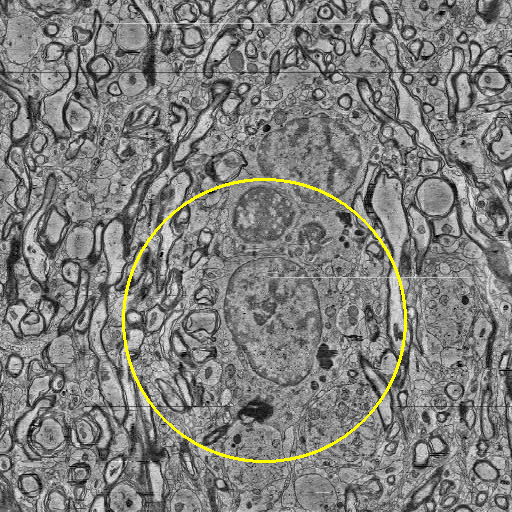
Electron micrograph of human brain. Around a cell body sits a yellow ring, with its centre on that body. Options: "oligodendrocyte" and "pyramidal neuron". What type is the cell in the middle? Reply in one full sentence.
The cell sitting at the centre of the yellow ring is an oligodendrocyte.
